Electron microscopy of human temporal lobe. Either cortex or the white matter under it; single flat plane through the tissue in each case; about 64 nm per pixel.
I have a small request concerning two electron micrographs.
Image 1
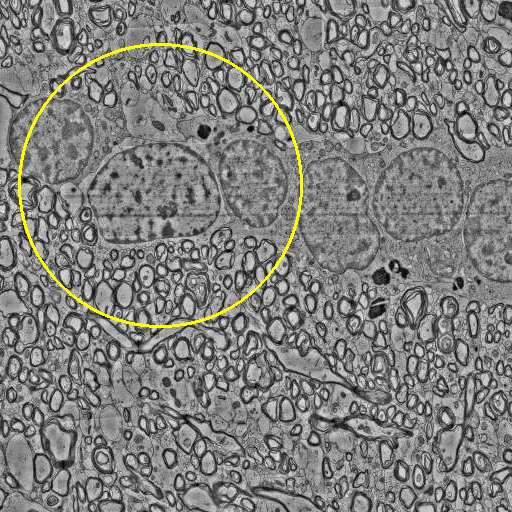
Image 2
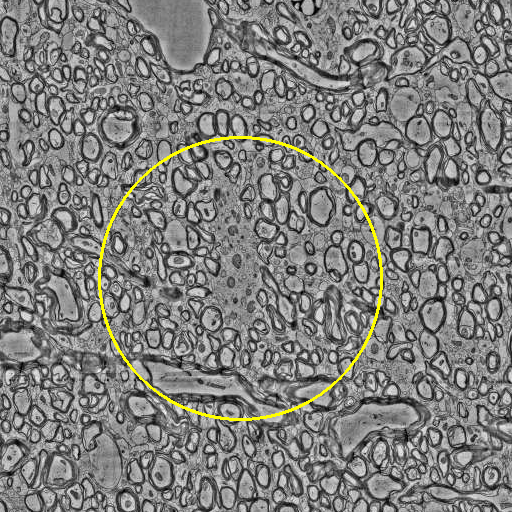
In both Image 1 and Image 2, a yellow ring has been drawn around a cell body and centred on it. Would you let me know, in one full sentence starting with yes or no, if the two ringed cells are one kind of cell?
No, the cells ringed in Image 1 and Image 2 are two kinds of cell.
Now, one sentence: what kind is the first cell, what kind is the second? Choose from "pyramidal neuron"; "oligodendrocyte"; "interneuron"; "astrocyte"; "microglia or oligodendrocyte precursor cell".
The first picture has a microglial cell or oligodendrocyte precursor cell at its ring centre, and the second has an oligodendrocyte.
